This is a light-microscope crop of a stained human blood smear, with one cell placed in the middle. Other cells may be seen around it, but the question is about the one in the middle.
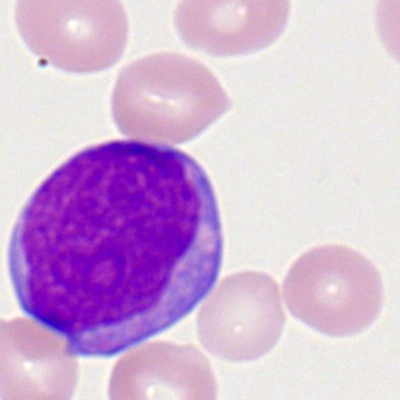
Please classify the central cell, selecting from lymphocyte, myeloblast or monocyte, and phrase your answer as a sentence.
What sits at the centre of this crop is a myeloblast.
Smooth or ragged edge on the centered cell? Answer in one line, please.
No projections interrupt the outline; it is smooth all the way round.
